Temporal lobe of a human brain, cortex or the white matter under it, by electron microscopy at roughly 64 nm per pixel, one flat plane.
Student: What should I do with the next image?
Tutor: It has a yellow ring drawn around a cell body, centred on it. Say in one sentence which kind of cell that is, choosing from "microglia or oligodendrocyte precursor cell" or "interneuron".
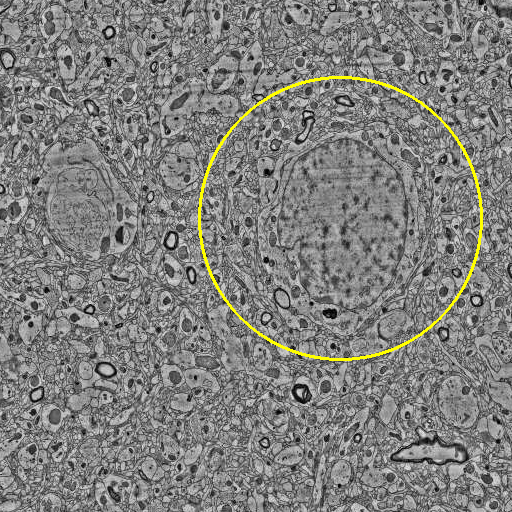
The ring's centre is occupied by an interneuron.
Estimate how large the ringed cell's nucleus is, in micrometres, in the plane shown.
The nucleus comes to roughly 11 by 8 micrometres in this plane.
